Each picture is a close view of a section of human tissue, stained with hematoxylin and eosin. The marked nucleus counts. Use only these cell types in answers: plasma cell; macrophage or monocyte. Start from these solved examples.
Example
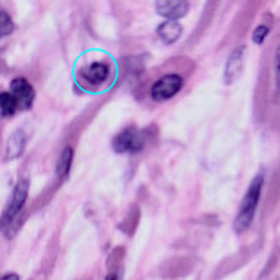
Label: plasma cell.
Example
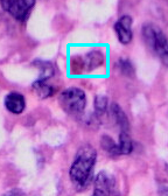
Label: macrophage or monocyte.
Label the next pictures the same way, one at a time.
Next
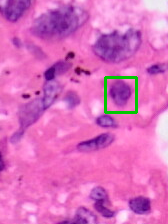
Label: plasma cell.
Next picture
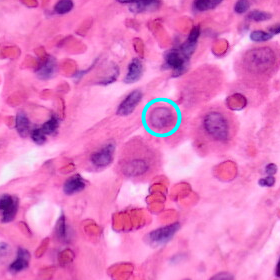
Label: macrophage or monocyte.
